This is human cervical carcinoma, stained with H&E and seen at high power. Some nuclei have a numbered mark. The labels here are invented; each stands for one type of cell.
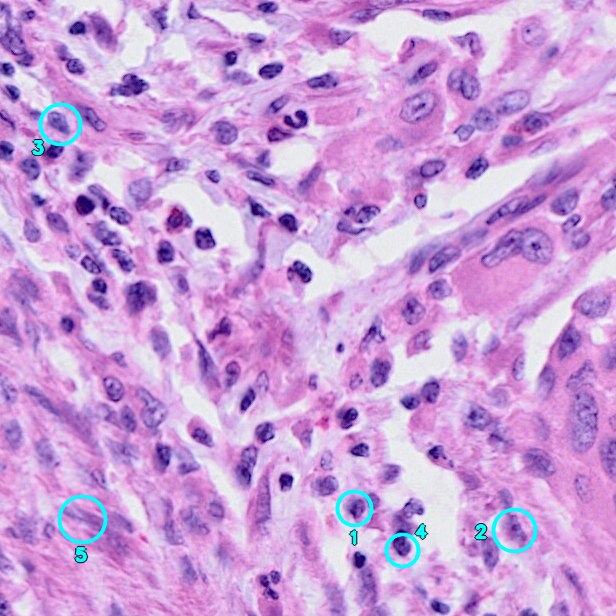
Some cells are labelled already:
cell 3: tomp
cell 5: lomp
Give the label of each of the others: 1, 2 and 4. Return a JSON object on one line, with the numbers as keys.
{"1": "tomp", "2": "lomp", "4": "tomp"}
